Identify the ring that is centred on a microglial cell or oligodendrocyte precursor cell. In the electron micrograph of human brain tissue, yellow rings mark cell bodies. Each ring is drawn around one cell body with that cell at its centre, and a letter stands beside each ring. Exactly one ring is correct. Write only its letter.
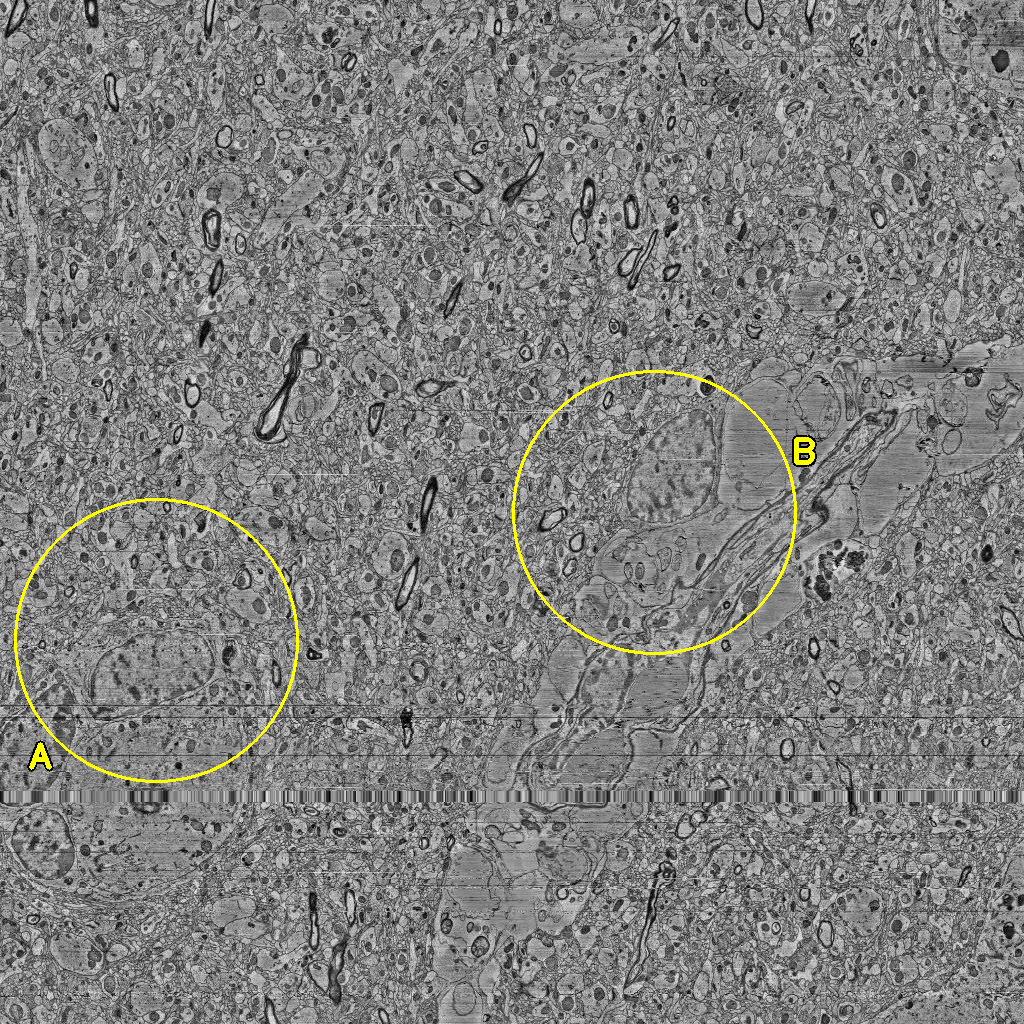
A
